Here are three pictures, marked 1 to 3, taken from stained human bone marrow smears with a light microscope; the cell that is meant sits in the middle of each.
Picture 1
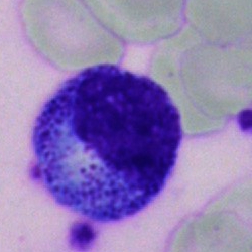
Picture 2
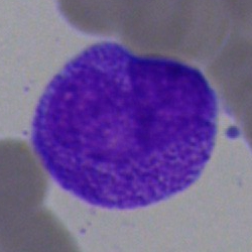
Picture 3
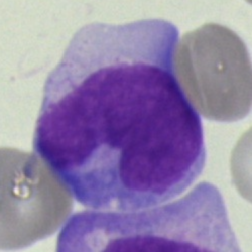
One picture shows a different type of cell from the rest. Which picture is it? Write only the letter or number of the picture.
3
